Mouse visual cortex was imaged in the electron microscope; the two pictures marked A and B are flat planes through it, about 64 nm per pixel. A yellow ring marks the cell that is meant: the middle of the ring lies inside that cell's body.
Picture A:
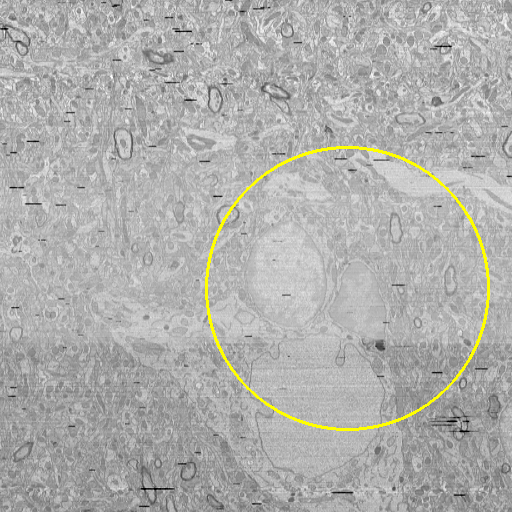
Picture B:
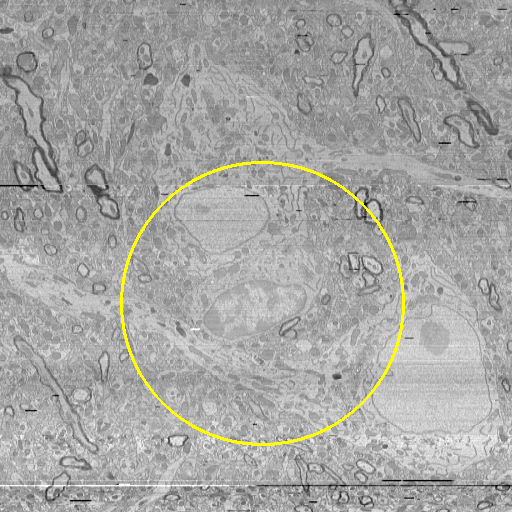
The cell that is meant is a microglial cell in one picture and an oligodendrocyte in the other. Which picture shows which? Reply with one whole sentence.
Picture A is of a microglial cell, and picture B is of an oligodendrocyte.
